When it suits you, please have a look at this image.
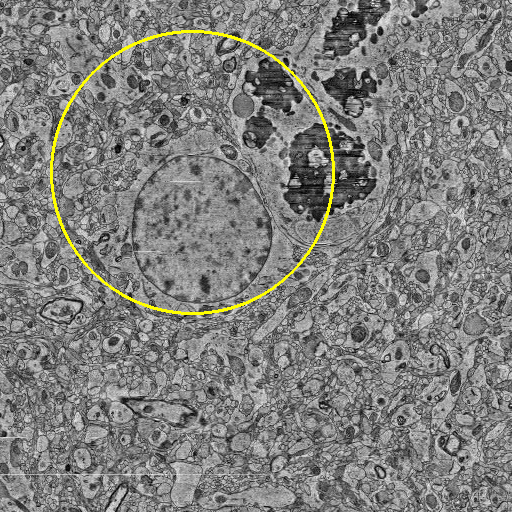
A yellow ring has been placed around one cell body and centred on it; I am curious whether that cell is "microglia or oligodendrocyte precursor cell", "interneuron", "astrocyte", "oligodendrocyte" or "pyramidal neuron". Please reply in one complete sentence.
The ringed cell, an astrocyte, has its body at the centre of the yellow ring.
